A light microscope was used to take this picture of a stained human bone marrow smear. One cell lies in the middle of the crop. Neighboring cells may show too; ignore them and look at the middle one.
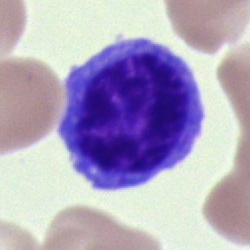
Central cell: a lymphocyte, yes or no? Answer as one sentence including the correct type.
No, the central cell isn't a lymphocyte, but a plasma cell.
